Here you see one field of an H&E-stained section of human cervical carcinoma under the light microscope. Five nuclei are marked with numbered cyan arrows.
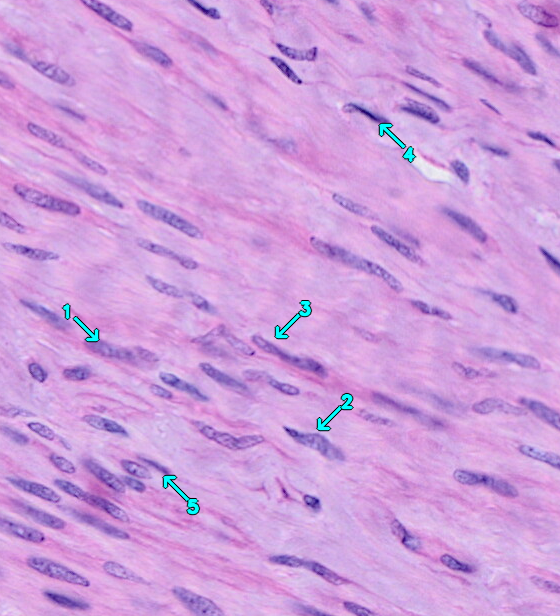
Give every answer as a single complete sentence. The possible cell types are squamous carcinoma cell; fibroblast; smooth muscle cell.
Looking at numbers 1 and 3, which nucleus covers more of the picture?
It is nucleus 1, which covers about 2 times the area of nucleus 3.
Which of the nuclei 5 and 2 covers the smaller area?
Number 5 is smaller, since number 2 takes up about 2 times as much area.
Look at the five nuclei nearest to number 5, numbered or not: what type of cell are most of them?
The majority of the five nuclei closest to number 5 belong to smooth muscle cells.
